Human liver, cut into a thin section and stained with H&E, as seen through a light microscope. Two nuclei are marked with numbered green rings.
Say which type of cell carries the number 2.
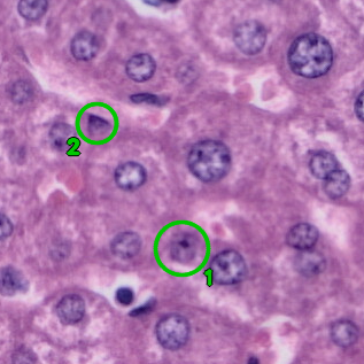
fibroblast or stellate cell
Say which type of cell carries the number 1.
hepatocyte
